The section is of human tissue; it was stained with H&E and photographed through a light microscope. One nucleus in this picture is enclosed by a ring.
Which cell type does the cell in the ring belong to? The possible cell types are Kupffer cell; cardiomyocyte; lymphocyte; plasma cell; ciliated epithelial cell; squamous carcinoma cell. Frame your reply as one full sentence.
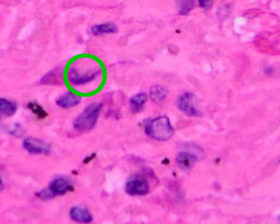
The expected answer is simply that the cell in the ring is a plasma cell.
